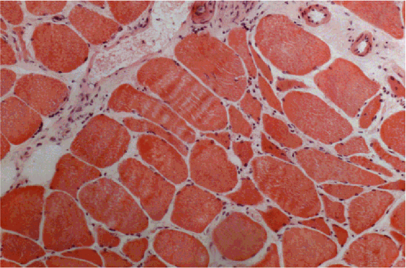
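This is a section of skeletal muscle showing muscle fibres stained red-pink, with a pattern of fibre atrophy. The fibres vary widely in size and shape; many are small and angular, while others remain large and rounded. Several fibres in the middle are cut obliquely and show fine cross-striations. The spaces between fibres are widened and pale, and at the top there is more loose connective tissue with small blood vessels. Small dark purple nuclei lie at the edges of the fibres and in the connective tissue between them.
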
